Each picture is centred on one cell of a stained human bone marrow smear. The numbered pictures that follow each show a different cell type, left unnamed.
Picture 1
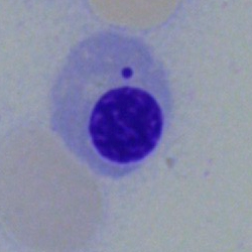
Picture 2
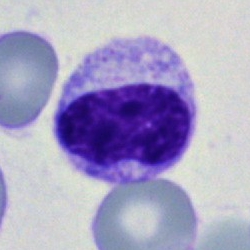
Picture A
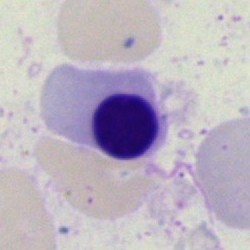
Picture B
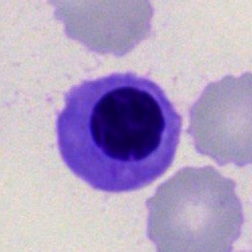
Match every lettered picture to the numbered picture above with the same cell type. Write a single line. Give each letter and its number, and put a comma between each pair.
A 1, B 1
